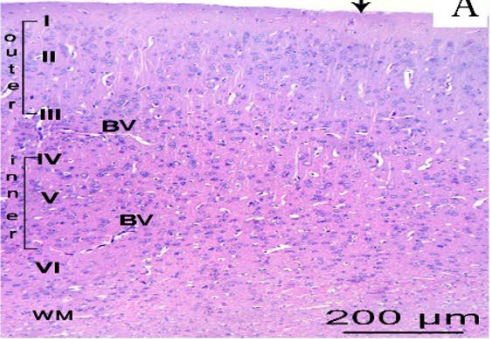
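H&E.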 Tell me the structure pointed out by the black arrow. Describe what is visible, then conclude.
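The arrow points to the thin membrane covering the outer surface of the tissue. The covering lies flat against the underlying cell-poor layer.
Pia matter.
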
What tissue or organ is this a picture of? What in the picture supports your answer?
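Cerebral cortex. A broad sheet of grey matter with scattered neurons arranged in stacked horizontal zones. A thin cell-poor band lies at the top surface. Paler fibrous tissue appears at the bottom.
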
